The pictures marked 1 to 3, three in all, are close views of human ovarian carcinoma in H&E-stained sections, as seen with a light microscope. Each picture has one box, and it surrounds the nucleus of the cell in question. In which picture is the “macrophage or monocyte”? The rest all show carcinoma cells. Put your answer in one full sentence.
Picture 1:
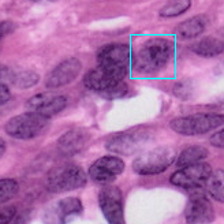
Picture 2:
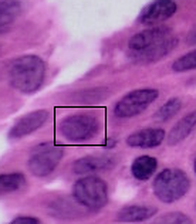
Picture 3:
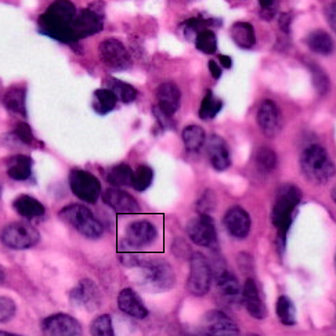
Picture 3 shows the “macrophage or monocyte”.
